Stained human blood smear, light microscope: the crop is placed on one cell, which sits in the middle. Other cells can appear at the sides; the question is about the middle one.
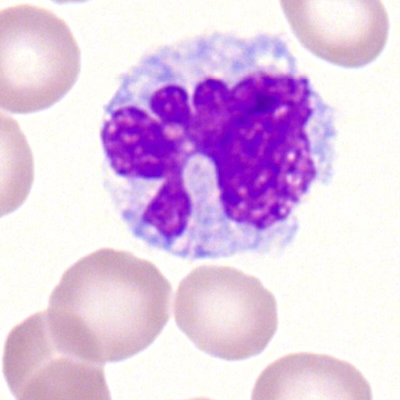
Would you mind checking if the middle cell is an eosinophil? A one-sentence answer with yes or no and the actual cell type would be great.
No, rather than being an eosinophil, the central cell is a monocyte.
